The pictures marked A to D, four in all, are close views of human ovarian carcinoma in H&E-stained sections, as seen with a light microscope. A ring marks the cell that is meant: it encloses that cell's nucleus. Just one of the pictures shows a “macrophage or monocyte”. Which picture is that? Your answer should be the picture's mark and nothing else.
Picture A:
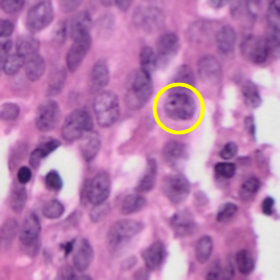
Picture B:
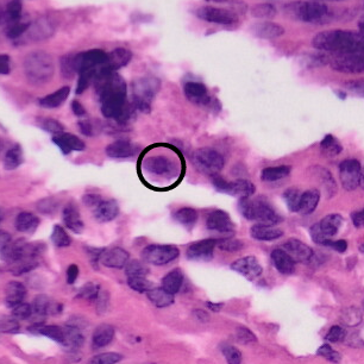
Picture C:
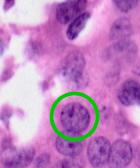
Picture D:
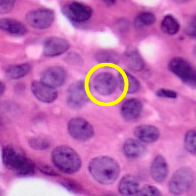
A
